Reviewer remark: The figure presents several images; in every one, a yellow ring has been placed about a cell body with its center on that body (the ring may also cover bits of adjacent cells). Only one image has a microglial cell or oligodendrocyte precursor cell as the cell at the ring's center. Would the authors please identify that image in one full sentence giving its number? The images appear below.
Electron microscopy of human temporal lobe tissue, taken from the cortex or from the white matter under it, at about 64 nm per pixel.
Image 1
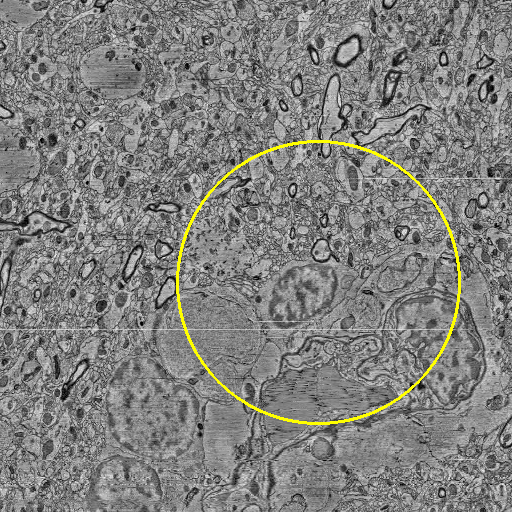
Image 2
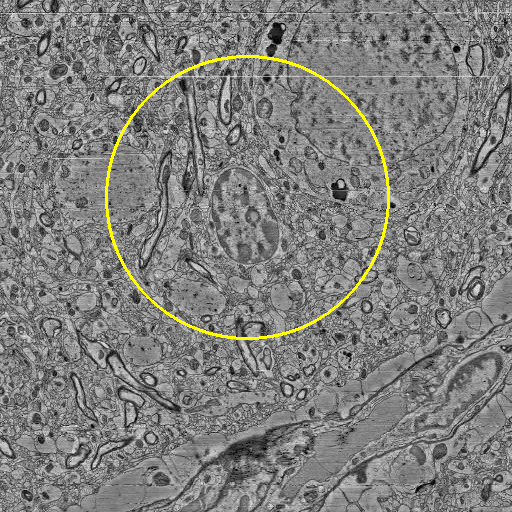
The ring's central cell in image 2 is the one the question describes.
